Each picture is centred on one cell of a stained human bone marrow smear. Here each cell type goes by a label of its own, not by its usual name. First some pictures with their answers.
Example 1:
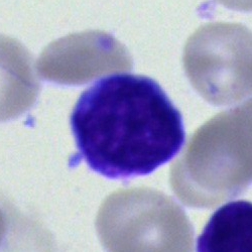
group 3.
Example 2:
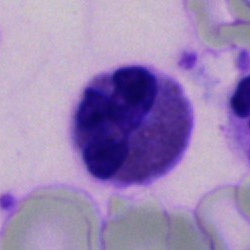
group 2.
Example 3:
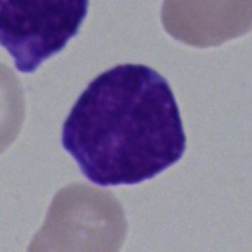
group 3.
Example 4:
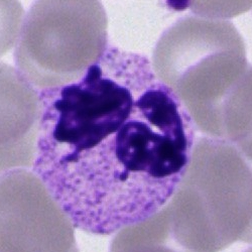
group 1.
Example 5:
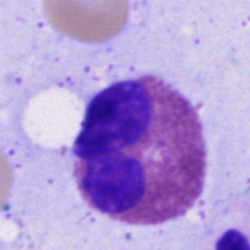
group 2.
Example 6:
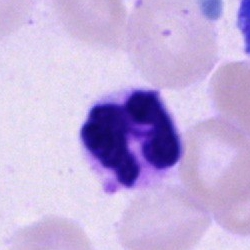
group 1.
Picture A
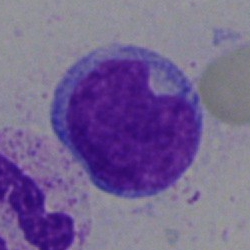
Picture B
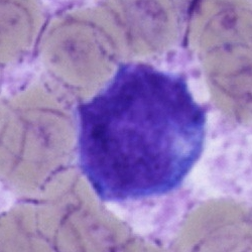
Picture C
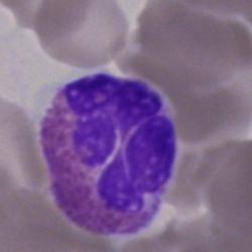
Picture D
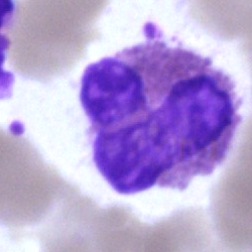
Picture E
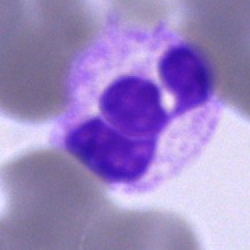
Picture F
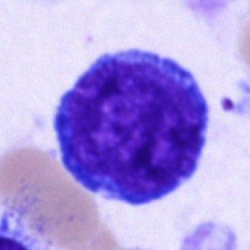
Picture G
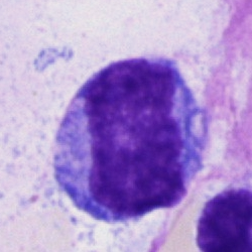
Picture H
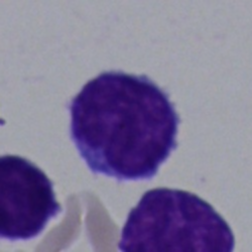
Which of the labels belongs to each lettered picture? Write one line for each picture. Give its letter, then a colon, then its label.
A: group 3.
B: group 3.
C: group 2.
D: group 2.
E: group 1.
F: group 3.
G: group 3.
H: group 3.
